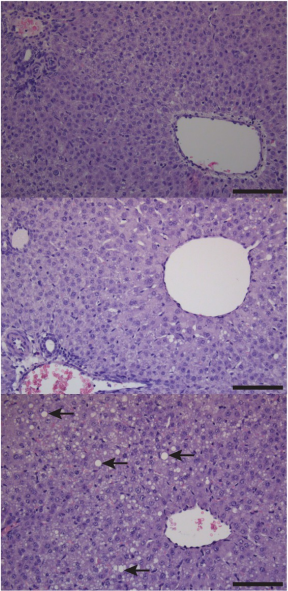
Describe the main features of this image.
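Three stacked images show liver tissue stained pink to purple. It is made up of sheets and cords of polygonal hepatocytes with round, centrally placed dark nuclei. Each image contains a large, round, thin-walled vessel that appears empty or holds a few red blood cells. Smaller vessels and a little connective tissue with red blood cells are visible near the edges. In the bottom image, several hepatocytes contain round, clear, sharply outlined vacuoles, marked by arrows.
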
